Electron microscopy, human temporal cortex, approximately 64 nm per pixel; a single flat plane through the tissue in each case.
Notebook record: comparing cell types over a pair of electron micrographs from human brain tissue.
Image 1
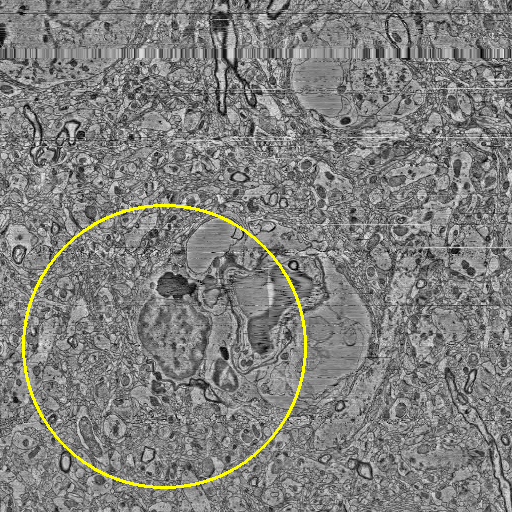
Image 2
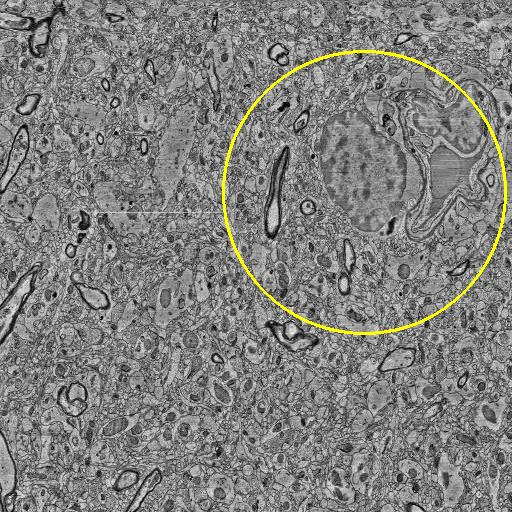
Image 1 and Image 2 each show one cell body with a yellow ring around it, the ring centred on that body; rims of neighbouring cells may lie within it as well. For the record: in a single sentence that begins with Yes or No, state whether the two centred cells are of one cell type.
Yes, one cell type is shared by the centred cells of Image 1 and Image 2.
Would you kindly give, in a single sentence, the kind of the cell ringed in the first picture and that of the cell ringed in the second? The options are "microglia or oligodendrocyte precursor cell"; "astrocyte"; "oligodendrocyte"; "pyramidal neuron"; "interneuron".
Each cell at the centre of a ring is an oligodendrocyte.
